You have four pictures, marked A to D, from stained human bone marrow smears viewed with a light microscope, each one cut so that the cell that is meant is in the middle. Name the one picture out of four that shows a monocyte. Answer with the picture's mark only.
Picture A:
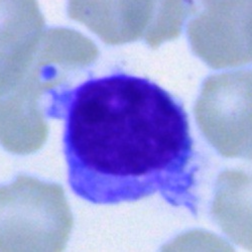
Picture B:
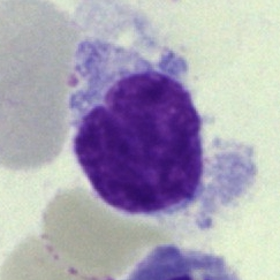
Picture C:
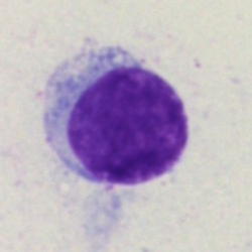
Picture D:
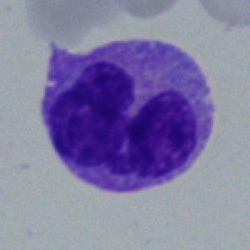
D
